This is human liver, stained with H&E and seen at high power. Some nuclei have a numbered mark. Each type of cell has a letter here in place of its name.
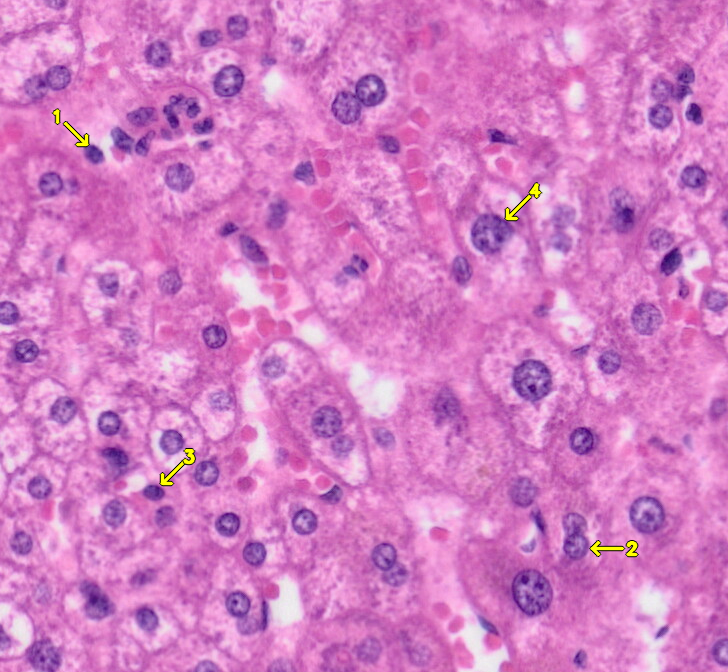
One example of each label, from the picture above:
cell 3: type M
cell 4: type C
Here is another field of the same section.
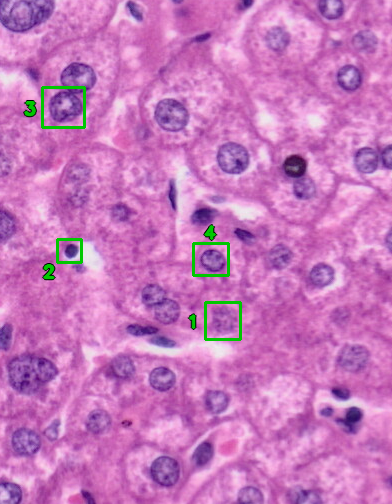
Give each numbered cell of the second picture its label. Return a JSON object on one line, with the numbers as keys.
{"1": "type C", "2": "type M", "3": "type C", "4": "type C"}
